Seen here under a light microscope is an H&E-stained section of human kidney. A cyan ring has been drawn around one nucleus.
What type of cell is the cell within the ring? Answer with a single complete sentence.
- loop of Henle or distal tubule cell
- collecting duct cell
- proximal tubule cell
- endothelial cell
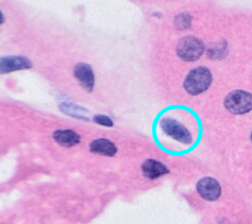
At the level of cell identity, the cell within the ring is an endothelial cell.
